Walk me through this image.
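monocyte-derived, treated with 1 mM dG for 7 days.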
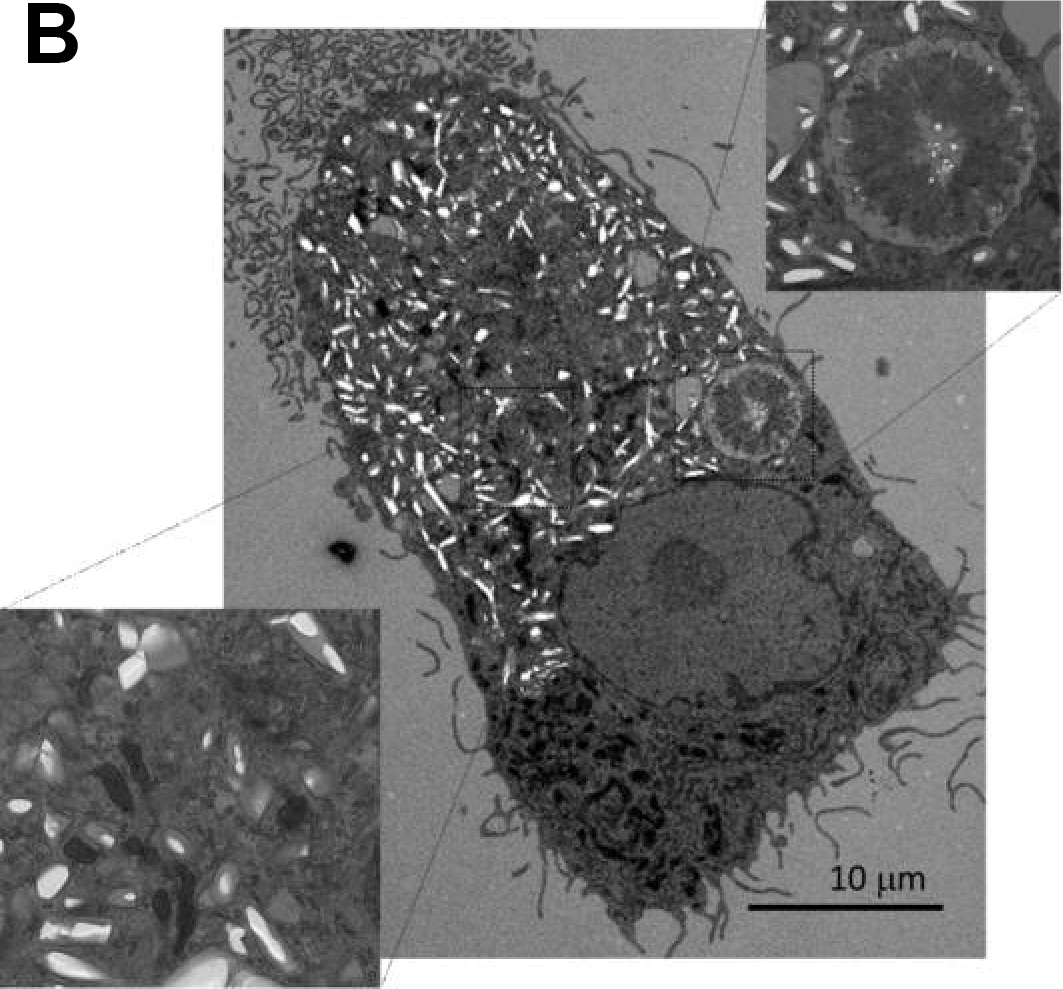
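A single elongated macrophage in section, with a large oval nucleus toward its lower part and thin finger-like processes fringing its surface. The cytoplasm above and beside the nucleus is crowded with many bright, sharp-edged, needle- and spindle-shaped clefts, scattered densely through much of the cell body. Enlarged insets show these bright elongated profiles among darker organelles, and a rounded body with a radial, spoke-like internal pattern lying near the cell edge. The lower cytoplasm is darker and more vesicular. Overall the cell shows marked morphological alteration, with abundant crystal-like inclusions filling its cytoplasm.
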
